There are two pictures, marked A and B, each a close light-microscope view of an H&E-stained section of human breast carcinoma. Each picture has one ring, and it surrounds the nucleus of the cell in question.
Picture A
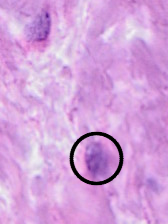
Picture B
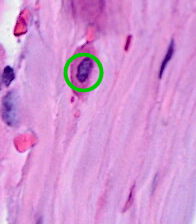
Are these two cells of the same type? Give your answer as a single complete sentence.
No, the types are not the same, since picture A shows a fibroblast and picture B a mast cell.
